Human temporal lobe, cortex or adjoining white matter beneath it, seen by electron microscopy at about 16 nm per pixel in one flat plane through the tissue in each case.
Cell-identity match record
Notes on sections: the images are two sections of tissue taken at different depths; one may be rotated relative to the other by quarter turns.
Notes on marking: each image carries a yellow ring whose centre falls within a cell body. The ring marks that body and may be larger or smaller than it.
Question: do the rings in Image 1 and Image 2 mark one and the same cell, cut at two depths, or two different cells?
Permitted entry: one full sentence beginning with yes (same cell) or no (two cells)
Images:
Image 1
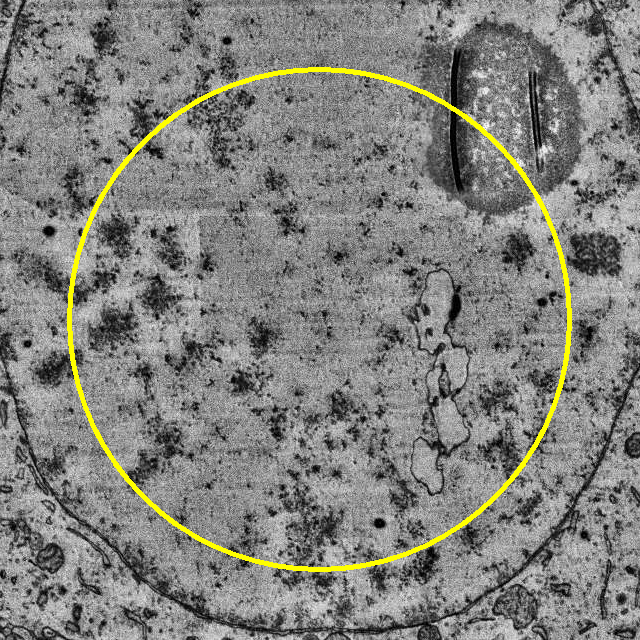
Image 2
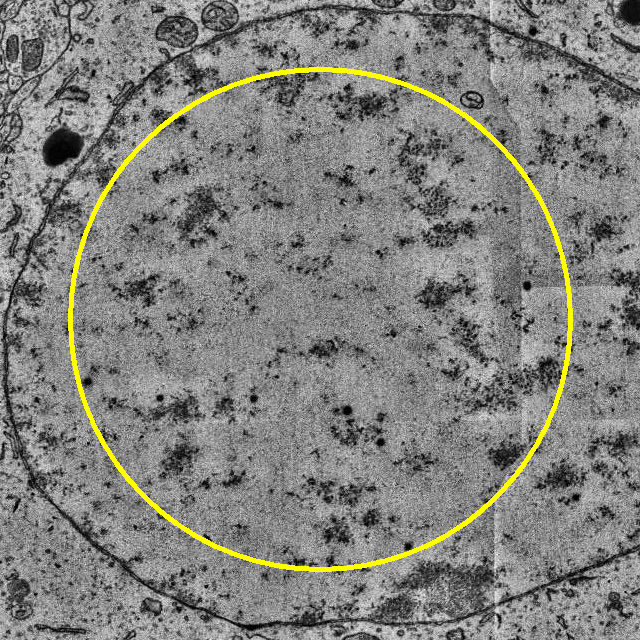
Yes, both marked profiles belong to the very same cell.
